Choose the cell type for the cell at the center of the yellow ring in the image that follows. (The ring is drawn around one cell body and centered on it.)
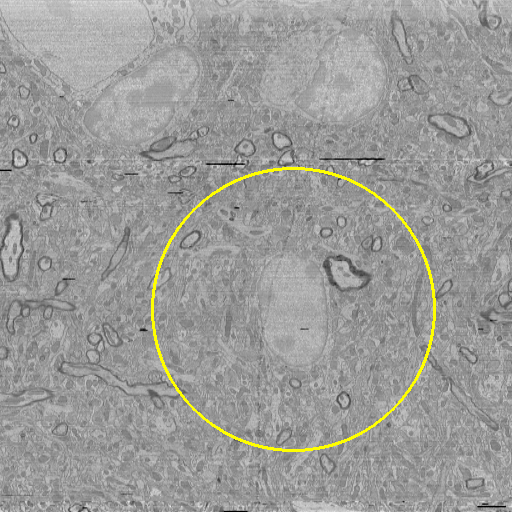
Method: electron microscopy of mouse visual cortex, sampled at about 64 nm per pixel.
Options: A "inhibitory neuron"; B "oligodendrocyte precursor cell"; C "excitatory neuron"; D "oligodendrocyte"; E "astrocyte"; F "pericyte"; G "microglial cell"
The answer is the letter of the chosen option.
E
